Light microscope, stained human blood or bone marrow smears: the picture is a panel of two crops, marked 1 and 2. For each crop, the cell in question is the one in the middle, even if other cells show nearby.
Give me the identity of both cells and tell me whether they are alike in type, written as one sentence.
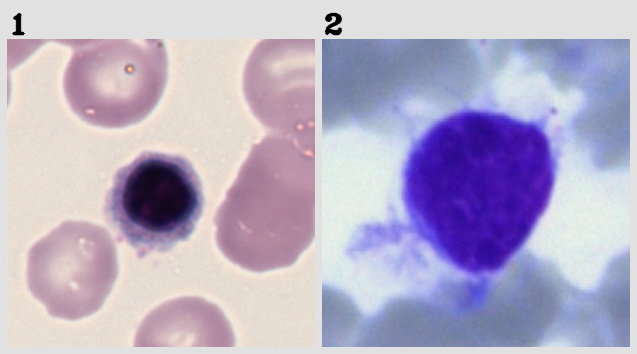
No, crop 1 offers an erythroblast, while crop 2 offers a lymphocyte.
